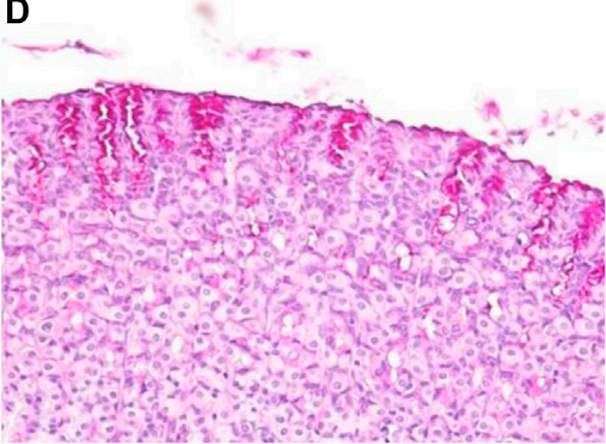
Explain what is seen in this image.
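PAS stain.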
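The magenta is concentrated in elongated, pit-like glands that run down from the surface, in some places in clusters and in others more sparsely. The deeper mucosa is made of closely packed pale pink glandular cells with round nuclei. A thin, continuous dark-lined surface covers the mucosa.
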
